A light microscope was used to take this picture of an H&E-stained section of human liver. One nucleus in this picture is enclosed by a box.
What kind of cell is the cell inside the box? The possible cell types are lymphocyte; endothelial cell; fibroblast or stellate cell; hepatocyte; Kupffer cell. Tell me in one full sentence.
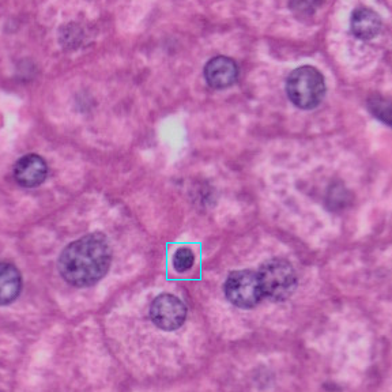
Microscopically, the cell inside the box is categorized as a lymphocyte.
